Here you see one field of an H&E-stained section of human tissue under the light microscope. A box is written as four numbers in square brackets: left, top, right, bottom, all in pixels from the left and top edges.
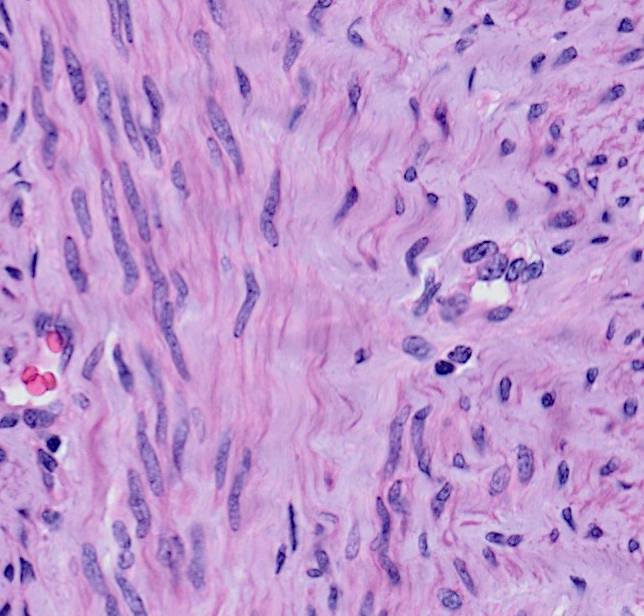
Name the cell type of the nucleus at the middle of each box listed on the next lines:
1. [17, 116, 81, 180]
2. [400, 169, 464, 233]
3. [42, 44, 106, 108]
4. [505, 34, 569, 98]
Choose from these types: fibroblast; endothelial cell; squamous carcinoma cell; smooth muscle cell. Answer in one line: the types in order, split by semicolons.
smooth muscle cell; smooth muscle cell; smooth muscle cell; fibroblast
